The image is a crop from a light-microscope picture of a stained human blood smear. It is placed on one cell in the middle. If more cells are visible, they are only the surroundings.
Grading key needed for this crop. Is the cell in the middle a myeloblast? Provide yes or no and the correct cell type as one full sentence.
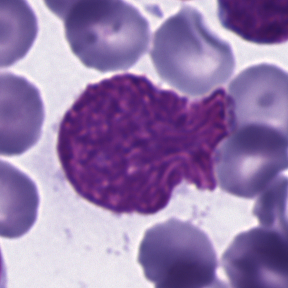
No; rather than a myeloblast, the cell at the center is a smudge cell.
